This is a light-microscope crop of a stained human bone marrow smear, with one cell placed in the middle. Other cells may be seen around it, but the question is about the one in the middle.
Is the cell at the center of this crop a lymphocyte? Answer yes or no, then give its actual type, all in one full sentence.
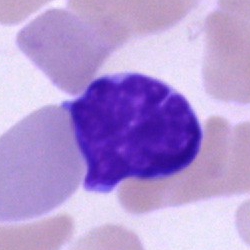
Yes, the cell in the middle of the crop is a lymphocyte.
